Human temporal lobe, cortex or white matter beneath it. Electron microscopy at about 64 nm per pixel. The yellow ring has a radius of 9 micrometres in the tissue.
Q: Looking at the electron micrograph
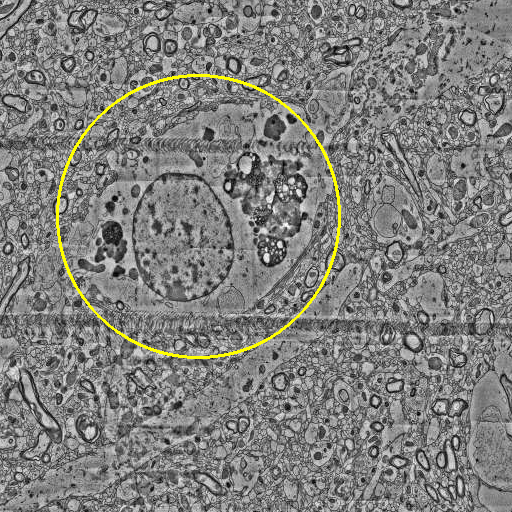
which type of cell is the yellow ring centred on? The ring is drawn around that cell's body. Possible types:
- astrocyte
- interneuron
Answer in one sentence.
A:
The yellow ring is centred on an astrocyte.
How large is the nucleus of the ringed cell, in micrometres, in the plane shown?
In this plane, the nucleus of the cell at the centre of the ring measures about 8 by 6 micrometres.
